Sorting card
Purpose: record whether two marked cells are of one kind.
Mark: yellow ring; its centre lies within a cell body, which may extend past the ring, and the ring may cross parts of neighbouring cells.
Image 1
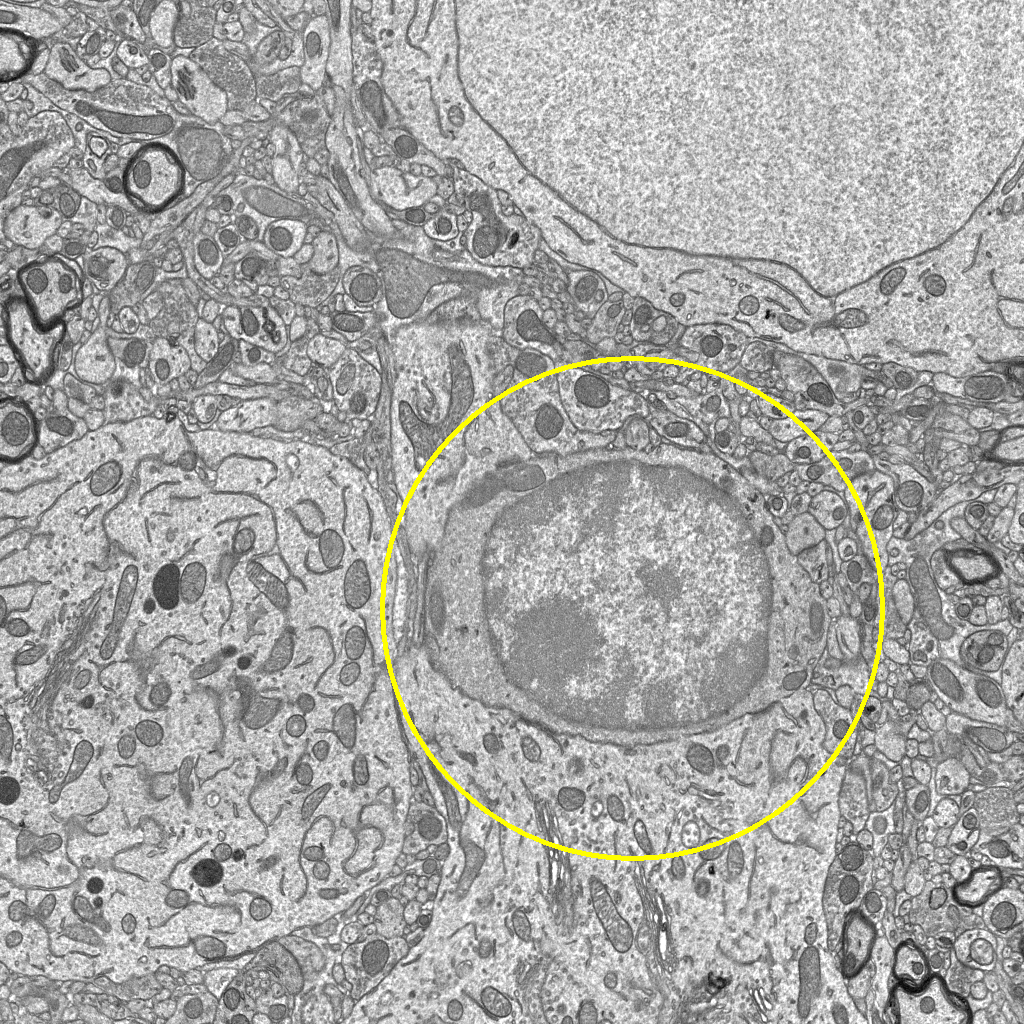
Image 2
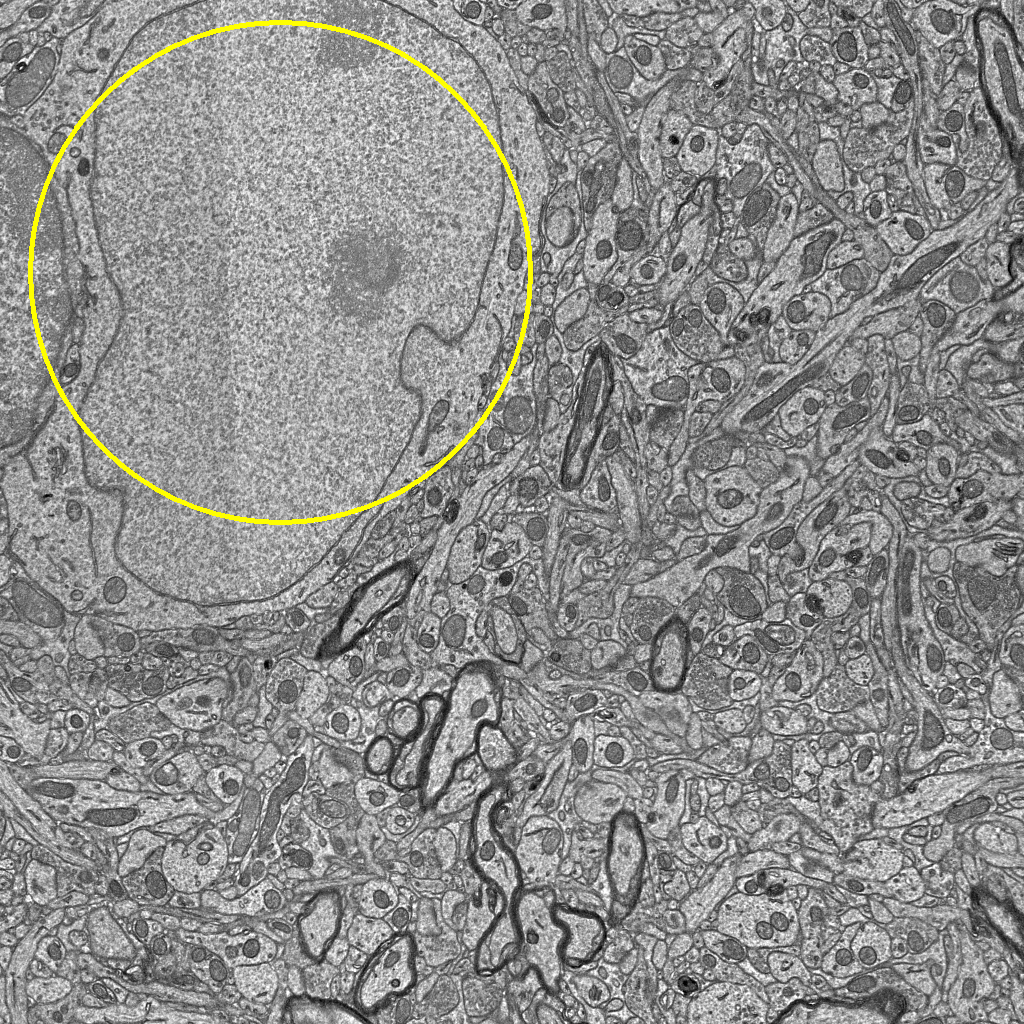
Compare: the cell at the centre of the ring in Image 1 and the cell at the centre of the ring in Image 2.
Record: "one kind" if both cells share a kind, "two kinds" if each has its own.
two kinds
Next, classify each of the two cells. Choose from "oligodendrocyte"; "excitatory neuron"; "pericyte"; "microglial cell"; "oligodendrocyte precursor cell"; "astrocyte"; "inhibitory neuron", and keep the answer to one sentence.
The one in the first picture is an oligodendrocyte, while the one in the second is an excitatory neuron.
